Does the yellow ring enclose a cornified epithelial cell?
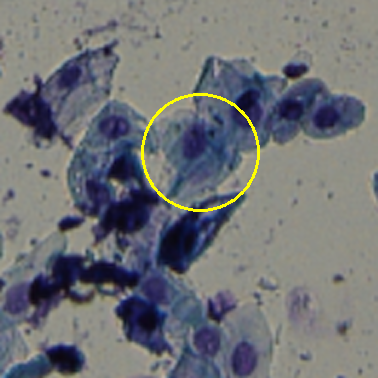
No. The ring encloses a nucleated epithelial cell.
